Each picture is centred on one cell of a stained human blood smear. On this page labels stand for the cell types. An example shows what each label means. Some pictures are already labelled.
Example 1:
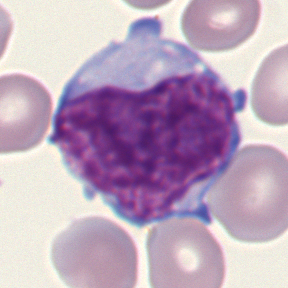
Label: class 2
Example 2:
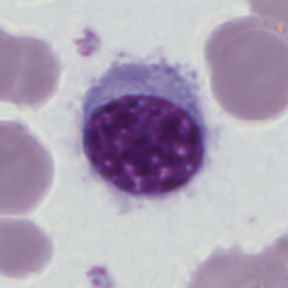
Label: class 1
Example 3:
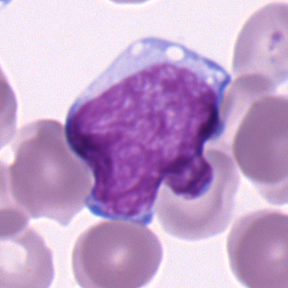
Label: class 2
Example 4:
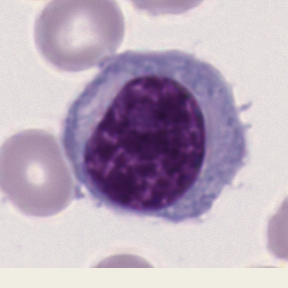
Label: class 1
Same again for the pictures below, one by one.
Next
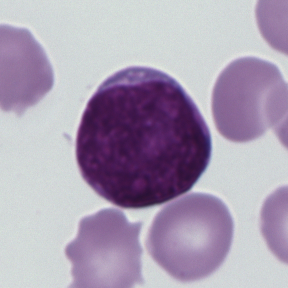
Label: class 2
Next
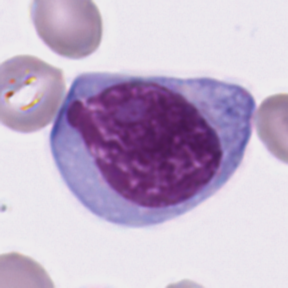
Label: class 1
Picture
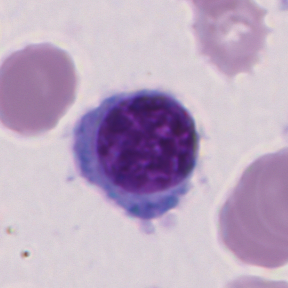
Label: class 1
